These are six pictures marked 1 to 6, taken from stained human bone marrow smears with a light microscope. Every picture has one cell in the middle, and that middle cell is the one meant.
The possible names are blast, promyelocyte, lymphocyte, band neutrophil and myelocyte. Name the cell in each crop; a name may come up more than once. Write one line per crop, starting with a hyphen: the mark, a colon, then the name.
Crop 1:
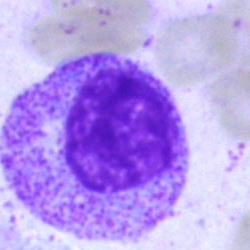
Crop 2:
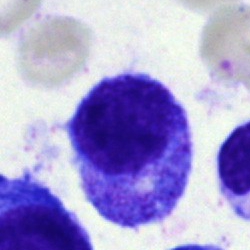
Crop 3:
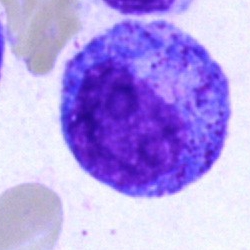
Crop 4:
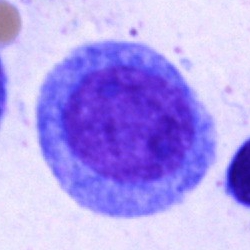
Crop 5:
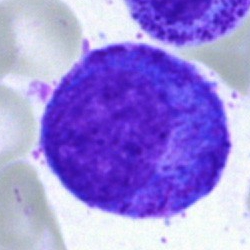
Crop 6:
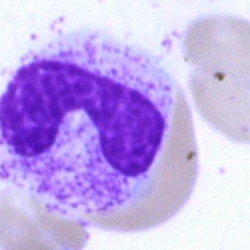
- 1: myelocyte
- 2: myelocyte
- 3: promyelocyte
- 4: promyelocyte
- 5: promyelocyte
- 6: band neutrophil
